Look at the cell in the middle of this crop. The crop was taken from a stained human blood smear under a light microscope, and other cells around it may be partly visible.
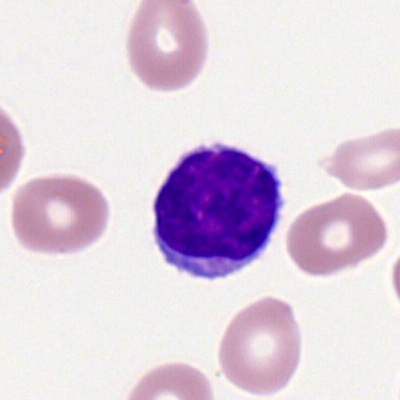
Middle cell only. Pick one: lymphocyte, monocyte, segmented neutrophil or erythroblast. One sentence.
In the crop, the cell of interest at the centre is a lymphocyte.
